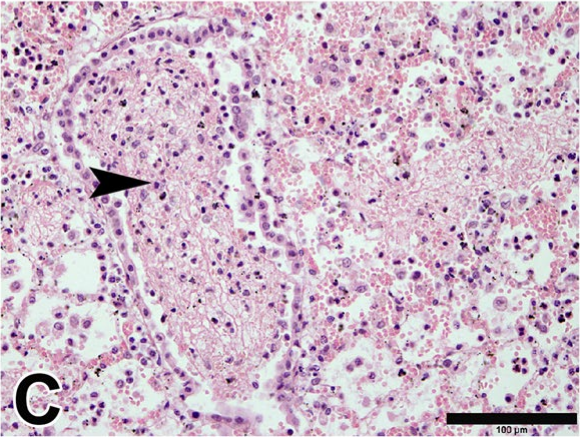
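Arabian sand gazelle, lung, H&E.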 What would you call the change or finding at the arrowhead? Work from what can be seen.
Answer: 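Scattered cells with dark nuclei lie within the pink material. The surrounding air spaces are filled with red blood cells. On this evidence: fibrinous deposition and inflammatory cells obstructing a bronchiole.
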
